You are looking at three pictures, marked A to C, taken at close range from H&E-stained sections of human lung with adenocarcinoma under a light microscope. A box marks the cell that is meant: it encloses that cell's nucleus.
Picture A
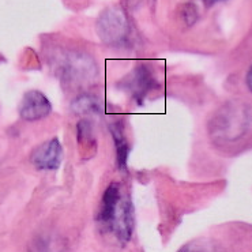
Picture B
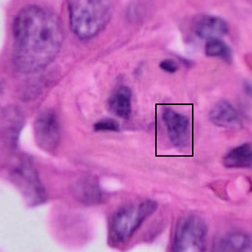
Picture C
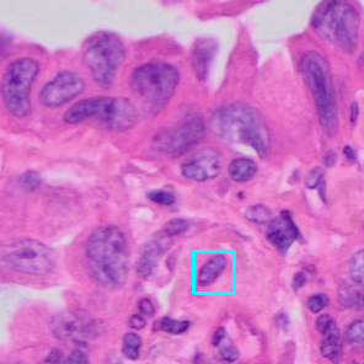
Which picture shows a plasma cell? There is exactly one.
B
